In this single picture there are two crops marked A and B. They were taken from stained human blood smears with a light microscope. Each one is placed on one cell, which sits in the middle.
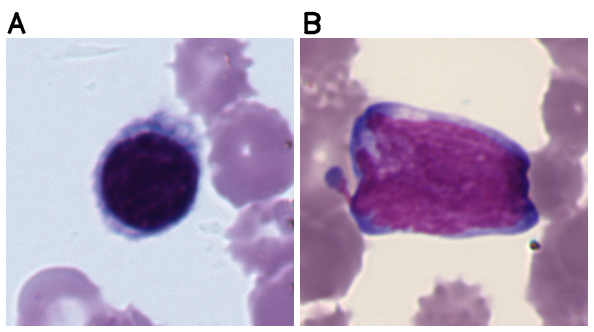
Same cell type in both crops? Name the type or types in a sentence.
No, while a hairy cell is found in crop A, a myeloblast is found in crop B.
